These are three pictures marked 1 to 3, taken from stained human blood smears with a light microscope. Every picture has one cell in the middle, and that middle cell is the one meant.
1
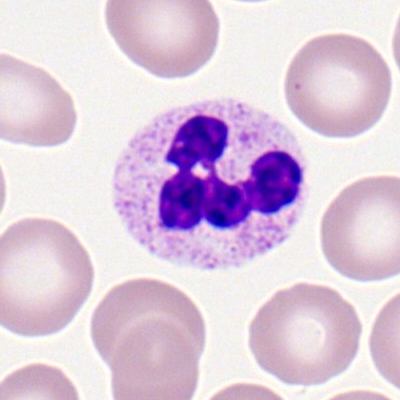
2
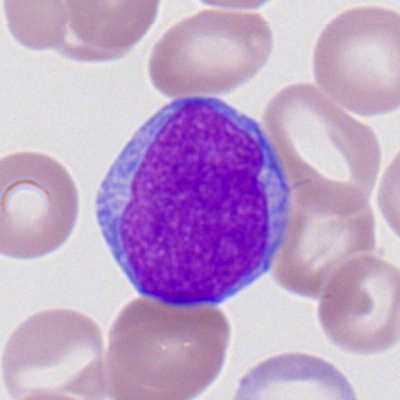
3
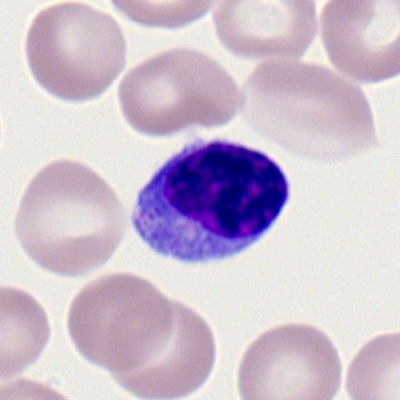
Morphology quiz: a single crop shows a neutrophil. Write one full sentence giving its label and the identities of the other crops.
Crop 1 has a neutrophil as its central cell, while crop 2 is a blast and crop 3 is a lymphocyte.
